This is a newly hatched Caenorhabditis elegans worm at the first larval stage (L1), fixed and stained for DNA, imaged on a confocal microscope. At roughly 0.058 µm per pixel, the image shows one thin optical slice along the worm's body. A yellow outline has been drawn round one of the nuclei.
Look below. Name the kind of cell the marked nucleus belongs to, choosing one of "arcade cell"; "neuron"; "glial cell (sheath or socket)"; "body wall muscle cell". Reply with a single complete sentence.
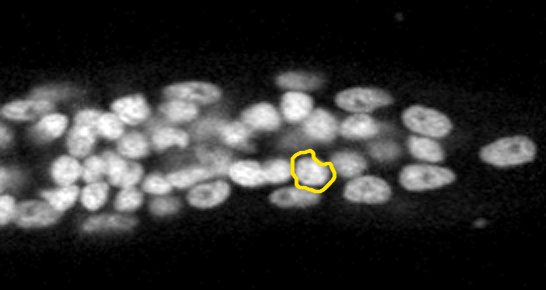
It is the nucleus of an arcade cell.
